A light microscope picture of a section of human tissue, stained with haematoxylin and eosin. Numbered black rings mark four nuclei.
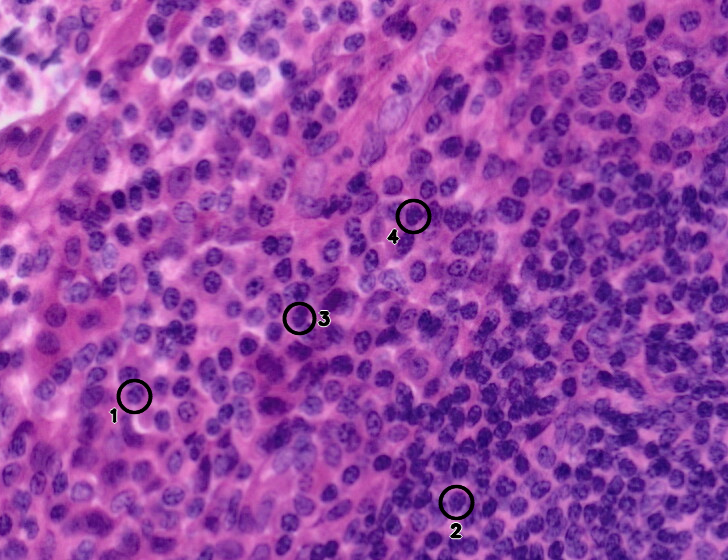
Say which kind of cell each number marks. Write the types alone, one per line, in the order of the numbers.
plasma cell
small lymphocyte
plasma cell
plasma cell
